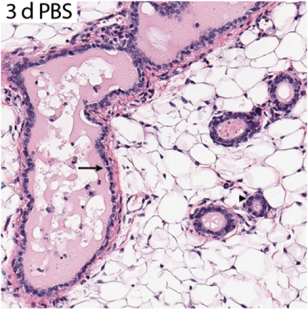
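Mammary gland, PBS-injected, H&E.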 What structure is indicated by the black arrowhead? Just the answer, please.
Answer: ductule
